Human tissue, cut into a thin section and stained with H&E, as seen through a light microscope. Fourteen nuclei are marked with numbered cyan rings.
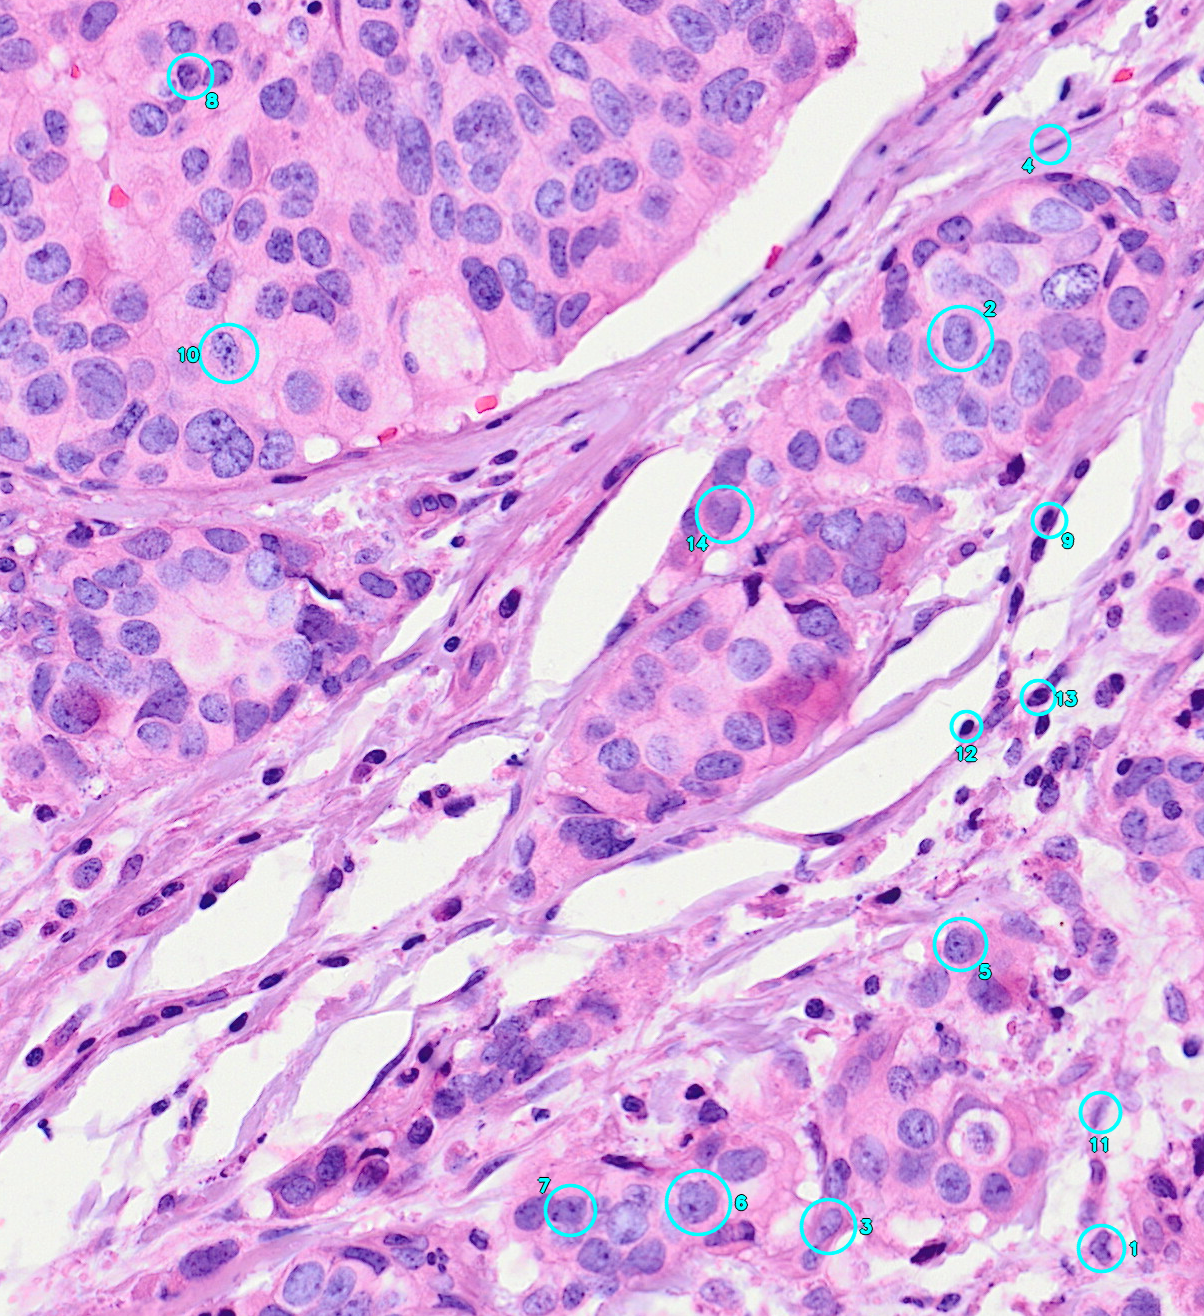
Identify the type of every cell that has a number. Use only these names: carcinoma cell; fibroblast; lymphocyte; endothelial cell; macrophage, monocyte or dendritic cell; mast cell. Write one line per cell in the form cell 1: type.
cell 1: macrophage, monocyte or dendritic cell
cell 2: carcinoma cell
cell 3: endothelial cell
cell 4: fibroblast
cell 5: carcinoma cell
cell 6: carcinoma cell
cell 7: carcinoma cell
cell 8: carcinoma cell
cell 9: lymphocyte
cell 10: carcinoma cell
cell 11: fibroblast
cell 12: lymphocyte
cell 13: lymphocyte
cell 14: carcinoma cell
